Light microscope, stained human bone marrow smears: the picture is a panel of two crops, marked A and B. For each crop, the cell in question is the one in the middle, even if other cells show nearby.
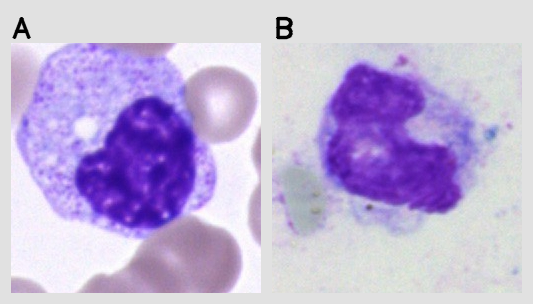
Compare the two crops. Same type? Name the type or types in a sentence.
No, crop A shows a myelocyte and crop B shows a monocyte.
